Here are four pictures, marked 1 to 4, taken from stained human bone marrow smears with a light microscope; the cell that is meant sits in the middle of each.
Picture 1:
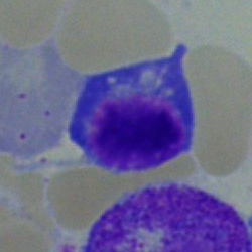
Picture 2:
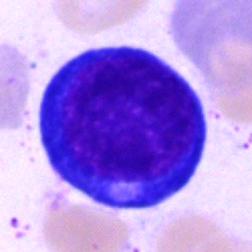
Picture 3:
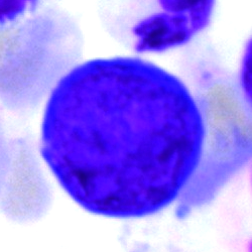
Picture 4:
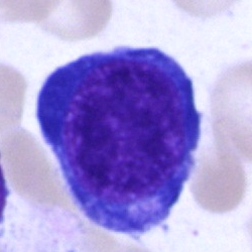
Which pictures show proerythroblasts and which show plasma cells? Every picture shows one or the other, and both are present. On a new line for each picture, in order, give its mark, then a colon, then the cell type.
1: plasma cell
2: proerythroblast
3: proerythroblast
4: proerythroblast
